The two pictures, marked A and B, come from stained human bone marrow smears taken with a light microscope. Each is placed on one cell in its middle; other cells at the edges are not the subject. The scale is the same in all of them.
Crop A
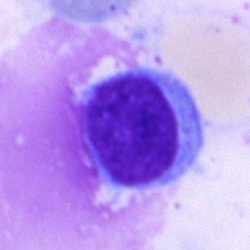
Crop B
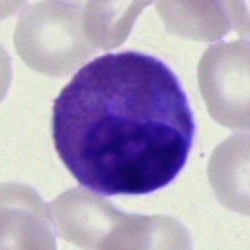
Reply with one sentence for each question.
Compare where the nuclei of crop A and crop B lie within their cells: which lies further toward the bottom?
The nucleus in crop B lies further toward the bottom of its cell.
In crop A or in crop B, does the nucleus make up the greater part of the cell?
The nucleus fills more of the cell in crop A than in crop B.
